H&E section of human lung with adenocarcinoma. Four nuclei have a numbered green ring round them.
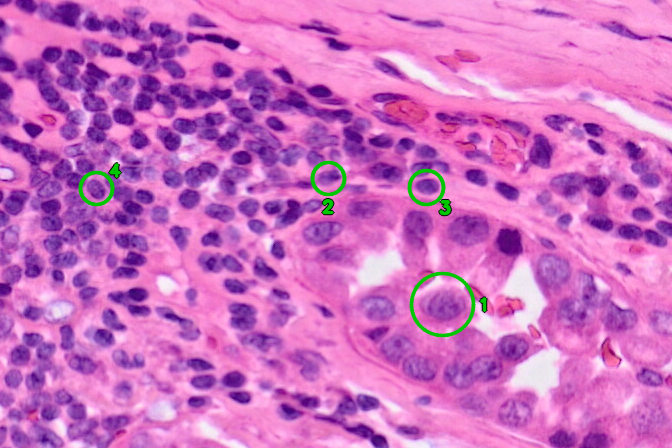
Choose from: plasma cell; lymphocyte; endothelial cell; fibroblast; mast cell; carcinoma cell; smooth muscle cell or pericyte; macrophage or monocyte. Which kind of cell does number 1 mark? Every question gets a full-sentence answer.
The nucleus labeled 1 belongs to a carcinoma cell.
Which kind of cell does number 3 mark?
Corresponding to a lymphocyte is the cell labelled 3.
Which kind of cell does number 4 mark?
The mark numbered 4 indicates the nucleus of a lymphocyte.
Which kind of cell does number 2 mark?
In this section, the cell tagged 2 is a lymphocyte.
